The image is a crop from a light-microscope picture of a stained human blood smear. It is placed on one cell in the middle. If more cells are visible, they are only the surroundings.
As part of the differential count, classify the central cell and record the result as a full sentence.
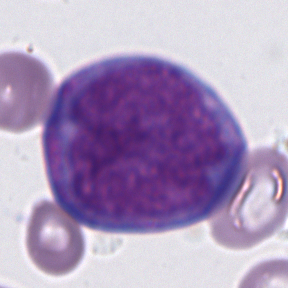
To answer, the cell in the center of the crop is a promyelocyte.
